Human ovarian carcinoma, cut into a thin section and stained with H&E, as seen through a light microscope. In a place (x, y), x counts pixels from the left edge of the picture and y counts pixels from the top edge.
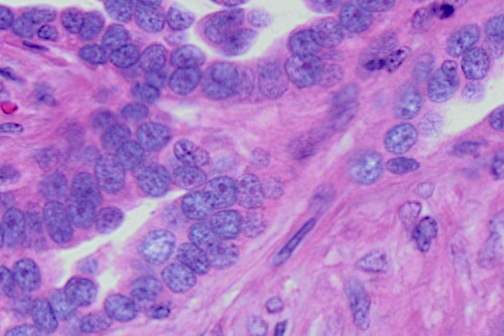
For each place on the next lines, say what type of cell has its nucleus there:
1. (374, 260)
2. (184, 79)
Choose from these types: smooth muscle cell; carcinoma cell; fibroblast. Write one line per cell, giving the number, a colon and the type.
1: fibroblast
2: carcinoma cell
